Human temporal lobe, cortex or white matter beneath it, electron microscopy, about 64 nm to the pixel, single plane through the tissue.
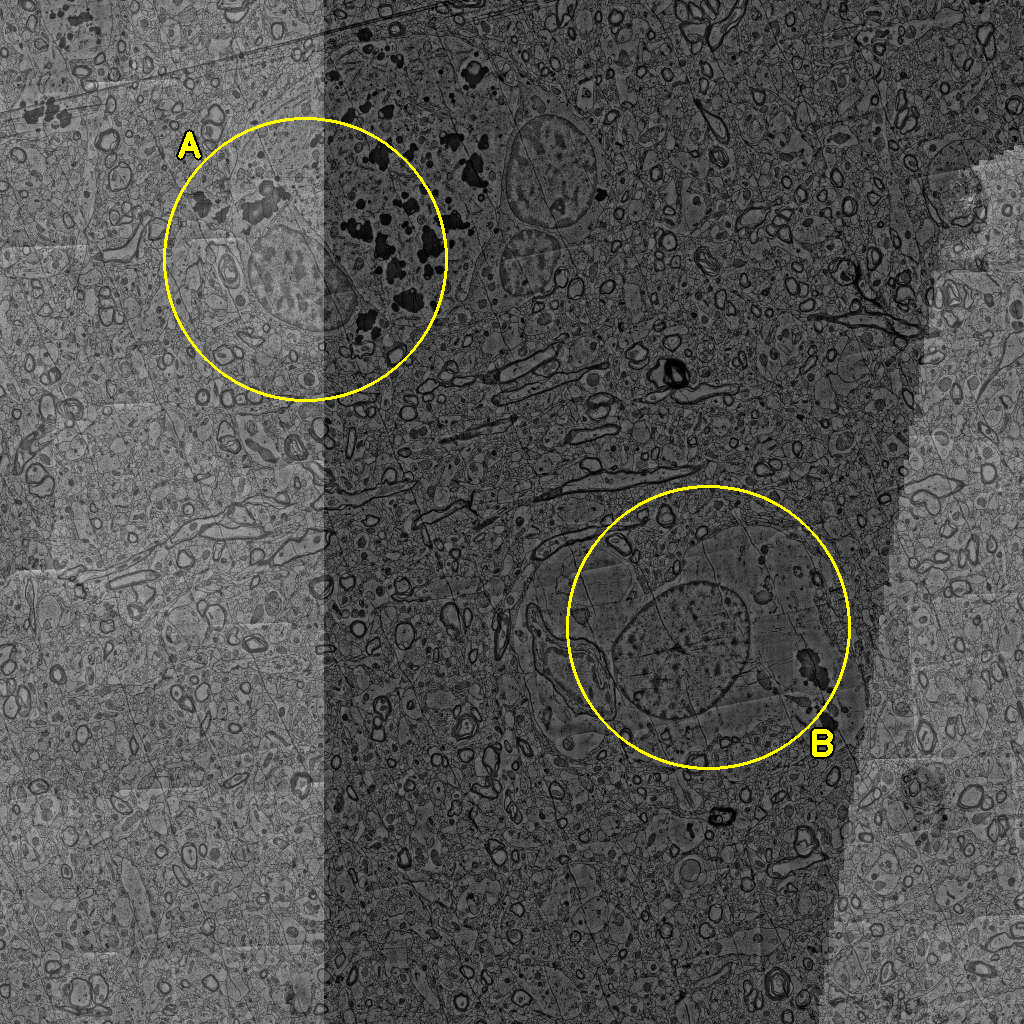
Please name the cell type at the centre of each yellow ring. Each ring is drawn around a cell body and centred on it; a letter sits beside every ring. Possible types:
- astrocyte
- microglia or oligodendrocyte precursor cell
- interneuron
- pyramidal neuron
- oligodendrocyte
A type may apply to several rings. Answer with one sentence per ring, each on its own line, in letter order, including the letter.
Ring A is centred on the cell body of an oligodendrocyte.
Ring B is centred on the cell body of an astrocyte.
